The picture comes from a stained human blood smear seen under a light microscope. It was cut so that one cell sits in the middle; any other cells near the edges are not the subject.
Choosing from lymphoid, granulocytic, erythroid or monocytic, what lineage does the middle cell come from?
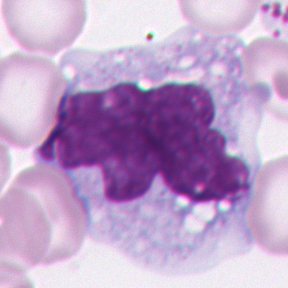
monocytic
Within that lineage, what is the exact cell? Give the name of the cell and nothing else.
monocyte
